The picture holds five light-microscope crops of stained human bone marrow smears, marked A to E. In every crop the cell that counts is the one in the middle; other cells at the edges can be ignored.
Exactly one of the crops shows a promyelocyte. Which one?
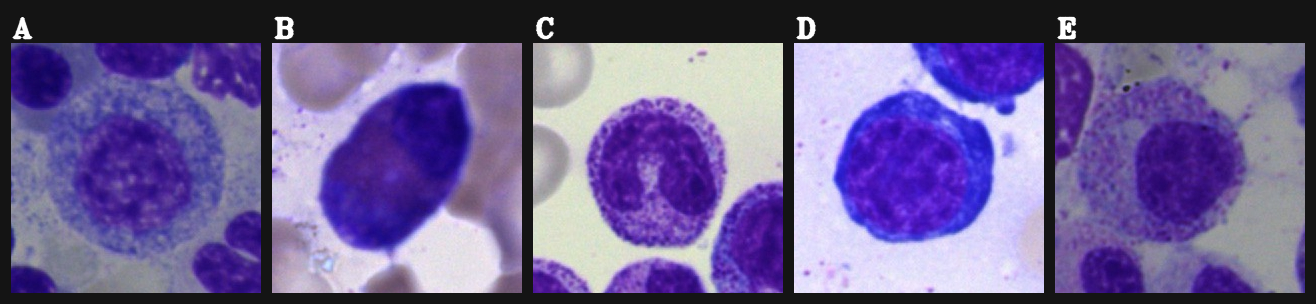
A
